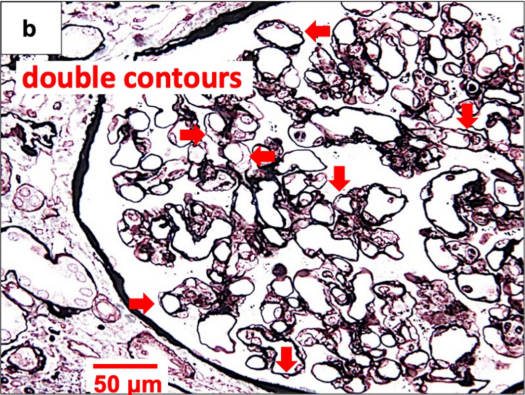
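A glomerulus stained with methenamine silver shows capillary loops outlined by black basement membranes. A thick black Bowman's capsule curves along the left. The mesangial areas between the loops are stained dark grey-brown.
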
